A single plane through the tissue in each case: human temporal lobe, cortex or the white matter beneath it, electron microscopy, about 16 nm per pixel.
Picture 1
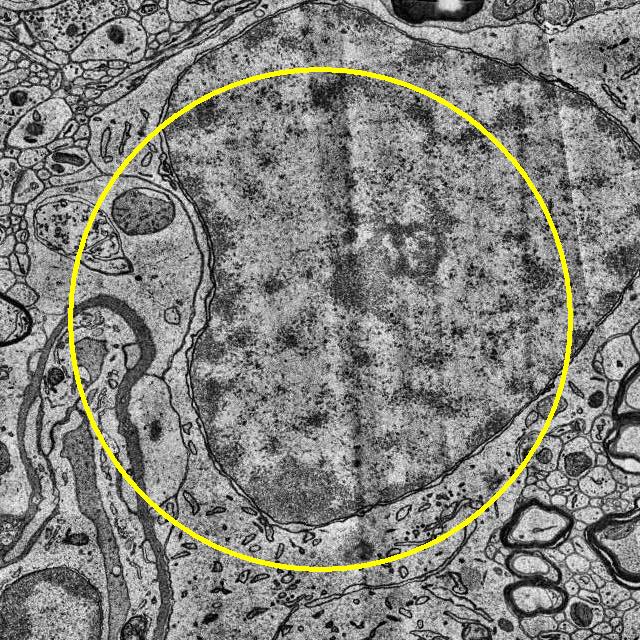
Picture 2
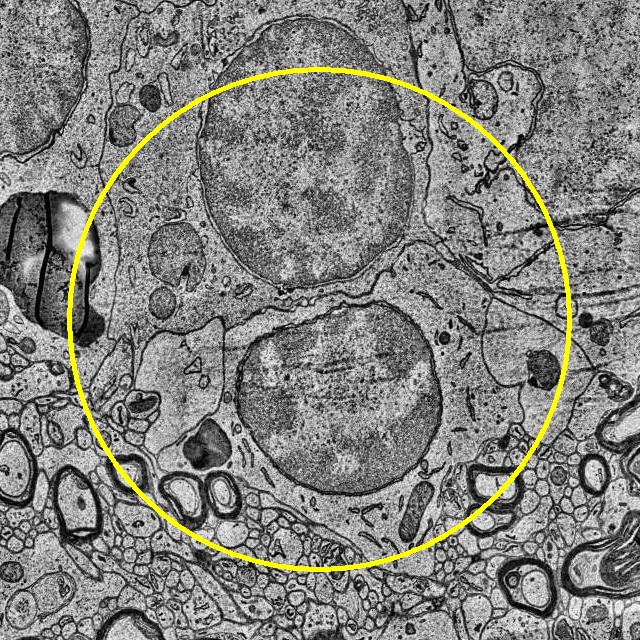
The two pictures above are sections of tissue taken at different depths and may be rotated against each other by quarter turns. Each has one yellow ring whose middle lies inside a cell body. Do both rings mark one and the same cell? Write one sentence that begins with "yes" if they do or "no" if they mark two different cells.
No, the two rings refer to two distinct cells.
